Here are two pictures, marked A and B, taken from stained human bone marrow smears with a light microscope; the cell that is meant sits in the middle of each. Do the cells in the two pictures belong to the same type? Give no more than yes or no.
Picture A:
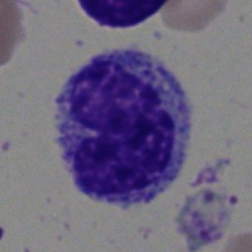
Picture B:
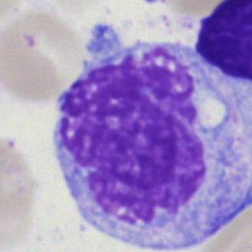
yes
